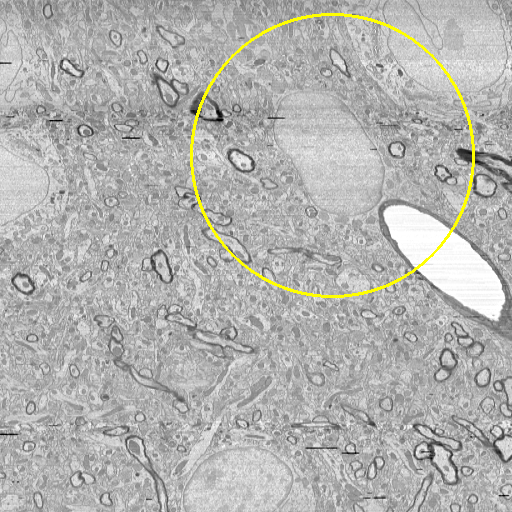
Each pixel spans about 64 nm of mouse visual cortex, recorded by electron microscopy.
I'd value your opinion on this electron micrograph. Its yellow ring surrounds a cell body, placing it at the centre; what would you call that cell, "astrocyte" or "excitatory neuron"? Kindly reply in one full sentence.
It is an astrocyte that sits centred within the yellow ring in this micrograph.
